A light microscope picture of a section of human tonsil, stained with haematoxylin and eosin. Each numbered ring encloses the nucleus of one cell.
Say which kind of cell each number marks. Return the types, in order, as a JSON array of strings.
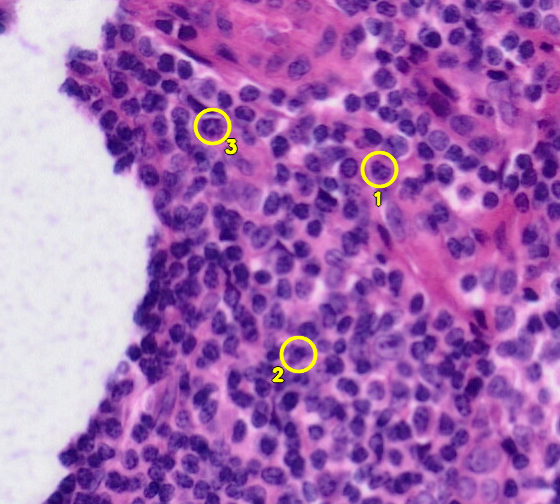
["plasma cell", "small lymphocyte", "plasma cell"]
